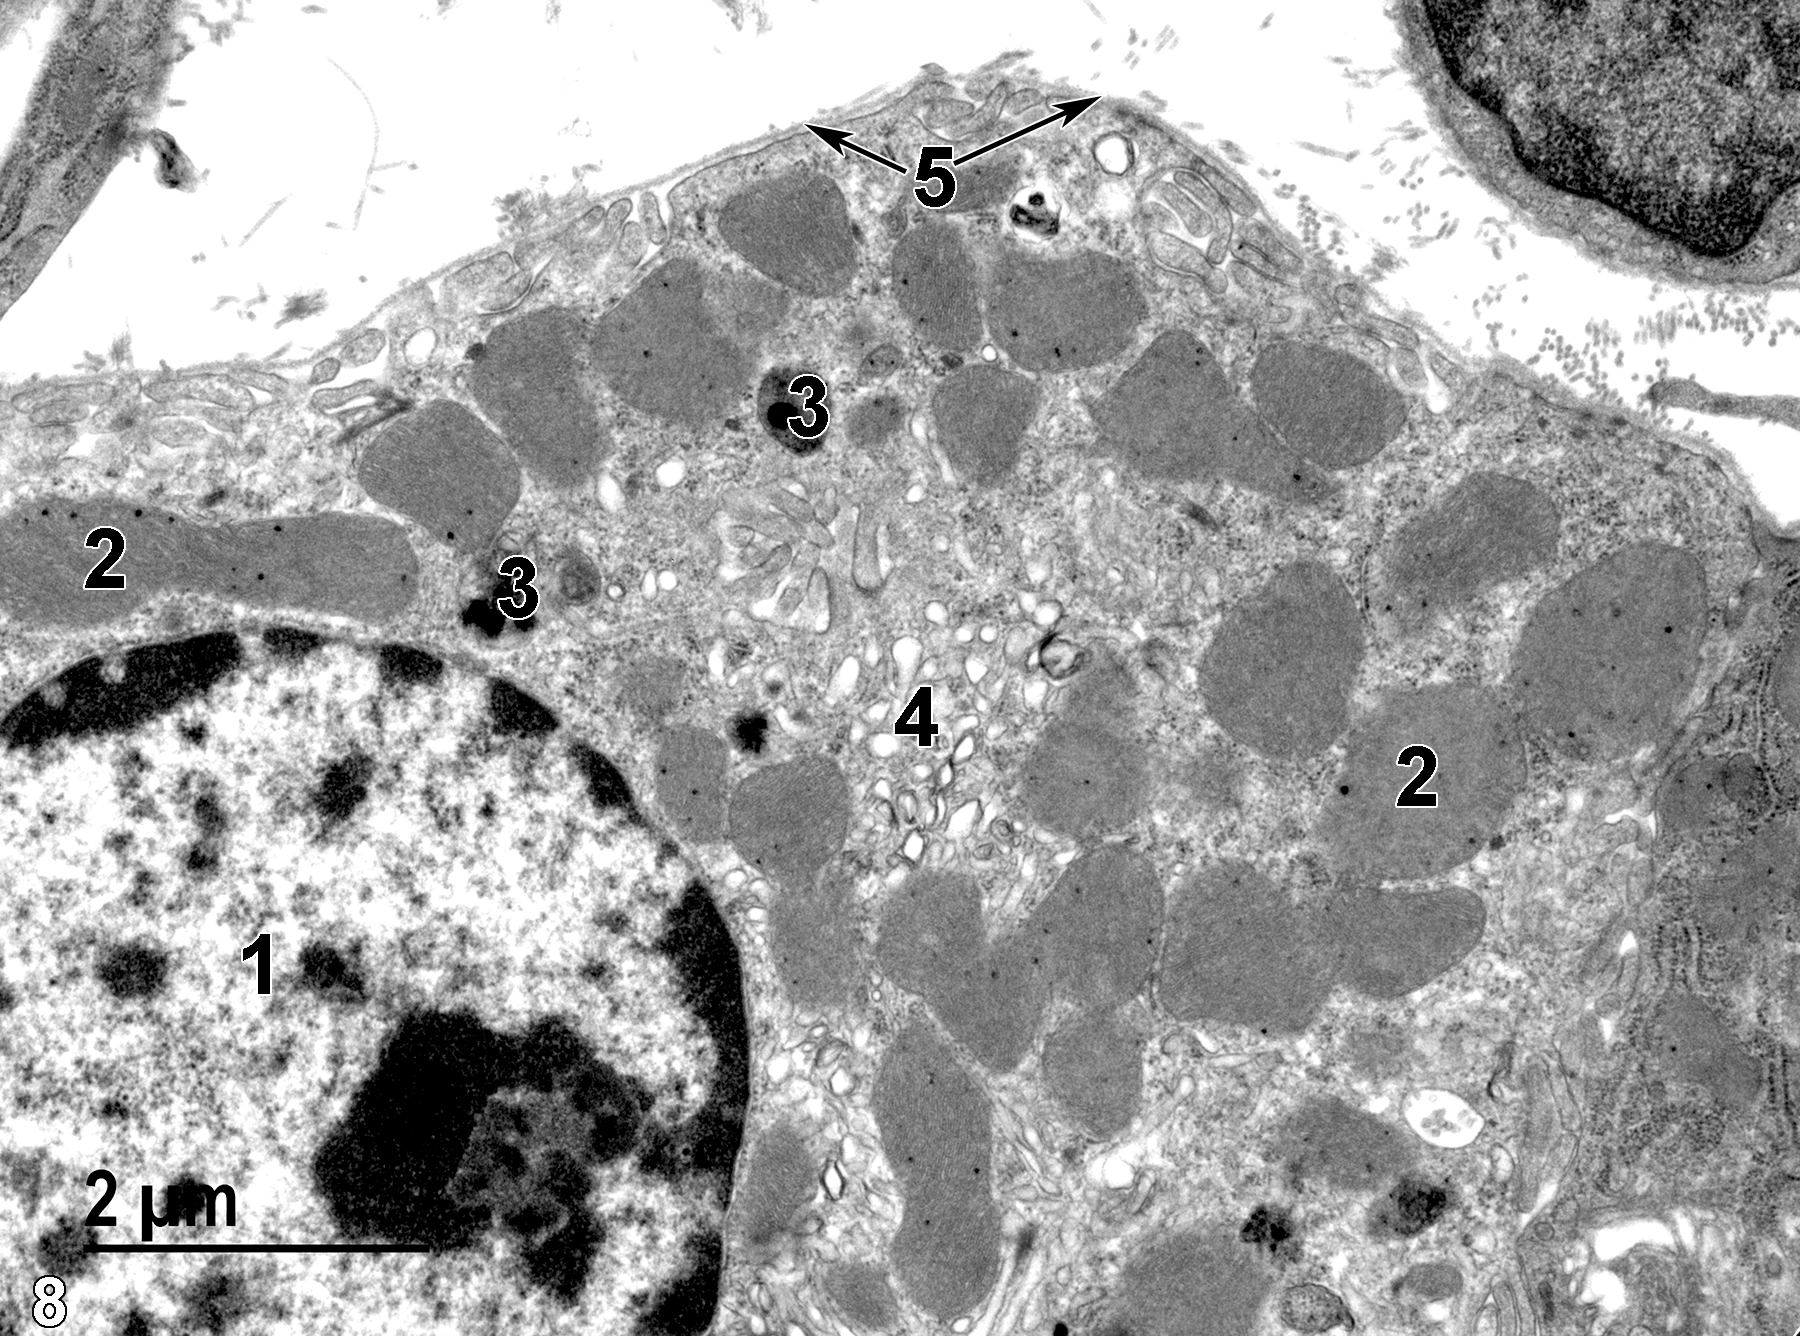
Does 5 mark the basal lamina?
Yes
